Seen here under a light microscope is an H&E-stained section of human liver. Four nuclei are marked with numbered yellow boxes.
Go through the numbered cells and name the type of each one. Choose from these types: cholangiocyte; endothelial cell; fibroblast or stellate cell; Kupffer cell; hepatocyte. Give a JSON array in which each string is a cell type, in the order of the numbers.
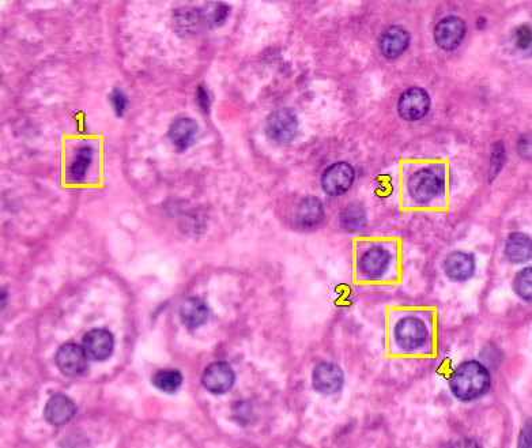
["fibroblast or stellate cell", "hepatocyte", "hepatocyte", "hepatocyte"]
